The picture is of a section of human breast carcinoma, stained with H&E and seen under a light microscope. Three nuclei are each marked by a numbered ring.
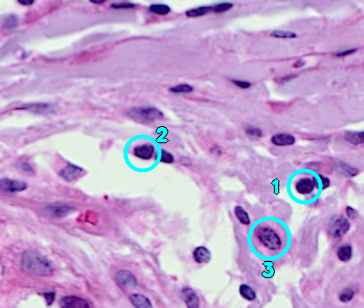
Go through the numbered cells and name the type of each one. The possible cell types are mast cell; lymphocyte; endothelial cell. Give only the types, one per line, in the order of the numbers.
lymphocyte
lymphocyte
mast cell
